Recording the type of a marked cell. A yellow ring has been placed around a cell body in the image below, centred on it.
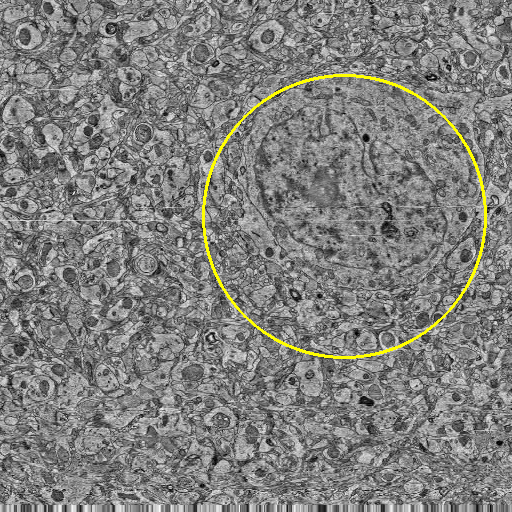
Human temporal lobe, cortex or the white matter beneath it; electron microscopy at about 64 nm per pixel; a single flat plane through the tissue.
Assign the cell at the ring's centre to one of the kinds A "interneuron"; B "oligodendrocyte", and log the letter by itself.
A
